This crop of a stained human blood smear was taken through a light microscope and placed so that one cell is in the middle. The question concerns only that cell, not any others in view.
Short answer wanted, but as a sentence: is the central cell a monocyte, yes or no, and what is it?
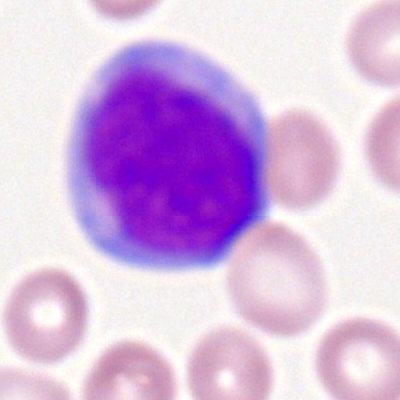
No, what the centre of the crop shows is a myeloblast, not a monocyte.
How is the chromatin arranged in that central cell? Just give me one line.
There is no coarse clumping; the chromatin stays fine throughout.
